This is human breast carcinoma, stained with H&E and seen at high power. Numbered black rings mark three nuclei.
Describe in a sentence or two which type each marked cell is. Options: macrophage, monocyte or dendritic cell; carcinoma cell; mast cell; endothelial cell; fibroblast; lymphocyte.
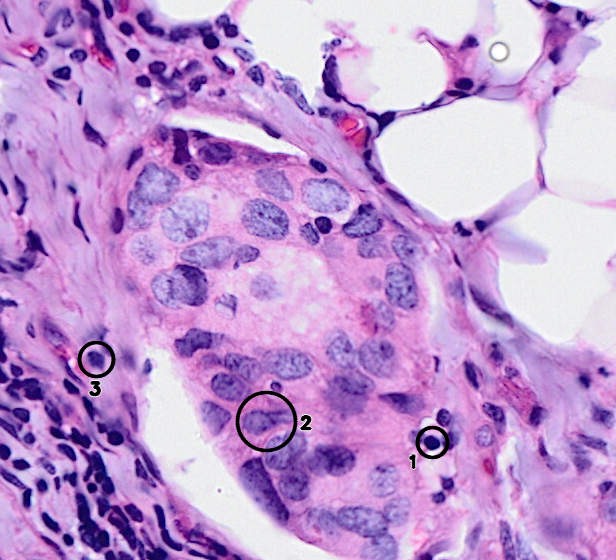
Cells 1 and 3 are lymphocytes. Cell 2 is a carcinoma cell.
